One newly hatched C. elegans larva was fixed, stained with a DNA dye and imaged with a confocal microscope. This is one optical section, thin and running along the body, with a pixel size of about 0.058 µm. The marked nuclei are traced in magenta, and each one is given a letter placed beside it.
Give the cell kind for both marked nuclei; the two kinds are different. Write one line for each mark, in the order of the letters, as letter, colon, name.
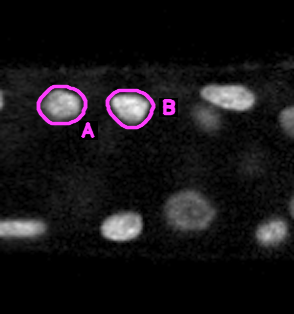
A: body wall muscle cell
B: coelomocyte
